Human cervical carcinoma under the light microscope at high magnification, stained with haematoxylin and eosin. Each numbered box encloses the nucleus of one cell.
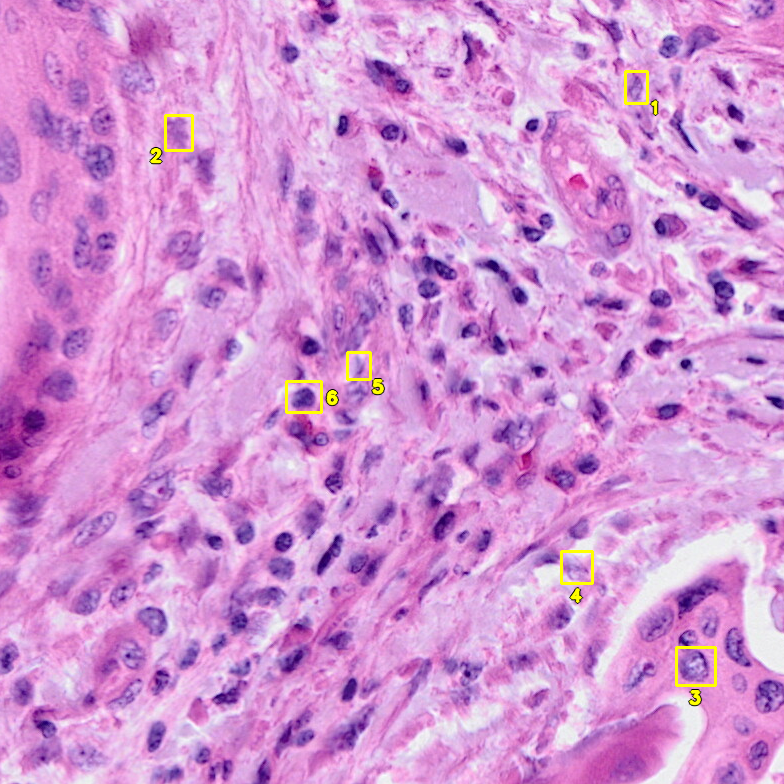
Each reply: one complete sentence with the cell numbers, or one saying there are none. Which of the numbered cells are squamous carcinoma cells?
Of all the cells bearing numbers, cell 3 is the only one that is a squamous carcinoma cell.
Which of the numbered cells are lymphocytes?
Where the numbered cells are concerned, only number 6 is a lymphocyte.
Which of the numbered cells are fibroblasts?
Marked by the numbers 1, 2 and 4 are cells that are fibroblasts.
